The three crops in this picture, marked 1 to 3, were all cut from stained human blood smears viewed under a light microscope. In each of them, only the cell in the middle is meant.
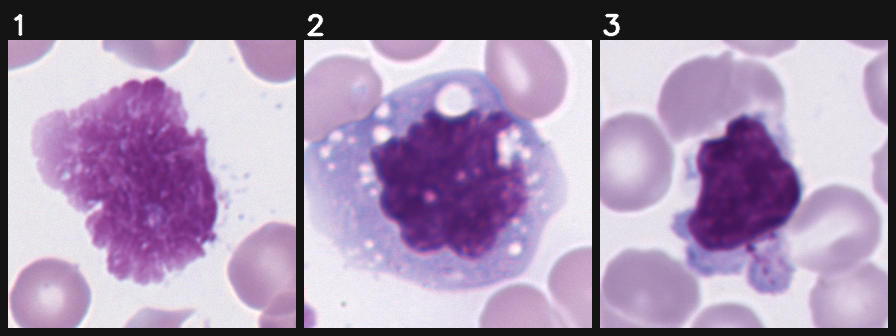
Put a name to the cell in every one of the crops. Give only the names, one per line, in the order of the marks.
smudge cell
monocyte
typical lymphocyte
